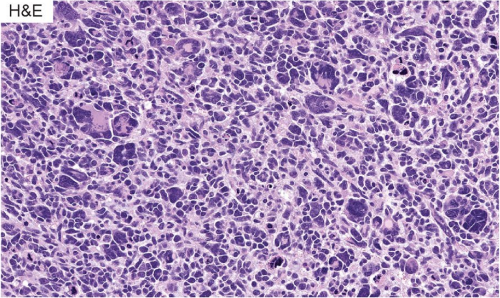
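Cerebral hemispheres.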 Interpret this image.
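Highly cellular diffuse glioma with marked nuclear pleomorphism and frequent giant cells. Tumour cells are densely packed with little intervening stroma. Smaller tumour cells between them have oval to spindled hyperchromatic nuclei. No normal brain architecture is retained in the field.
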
